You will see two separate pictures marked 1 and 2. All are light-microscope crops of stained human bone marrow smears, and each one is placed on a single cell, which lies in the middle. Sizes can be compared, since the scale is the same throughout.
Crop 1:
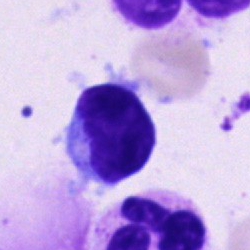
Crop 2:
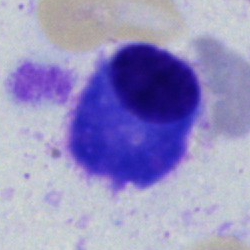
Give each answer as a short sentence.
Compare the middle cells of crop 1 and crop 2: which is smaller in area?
It is the cell in crop 1; the cell in crop 2 has about 2 times its area.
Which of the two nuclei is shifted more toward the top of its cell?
In crop 2 the nucleus is shifted more toward the top.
